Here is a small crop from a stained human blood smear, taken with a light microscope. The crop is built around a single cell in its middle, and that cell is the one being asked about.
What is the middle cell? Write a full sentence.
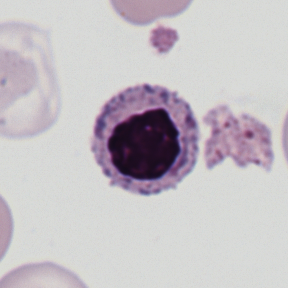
The cell centered in this field of view is a normoblast.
